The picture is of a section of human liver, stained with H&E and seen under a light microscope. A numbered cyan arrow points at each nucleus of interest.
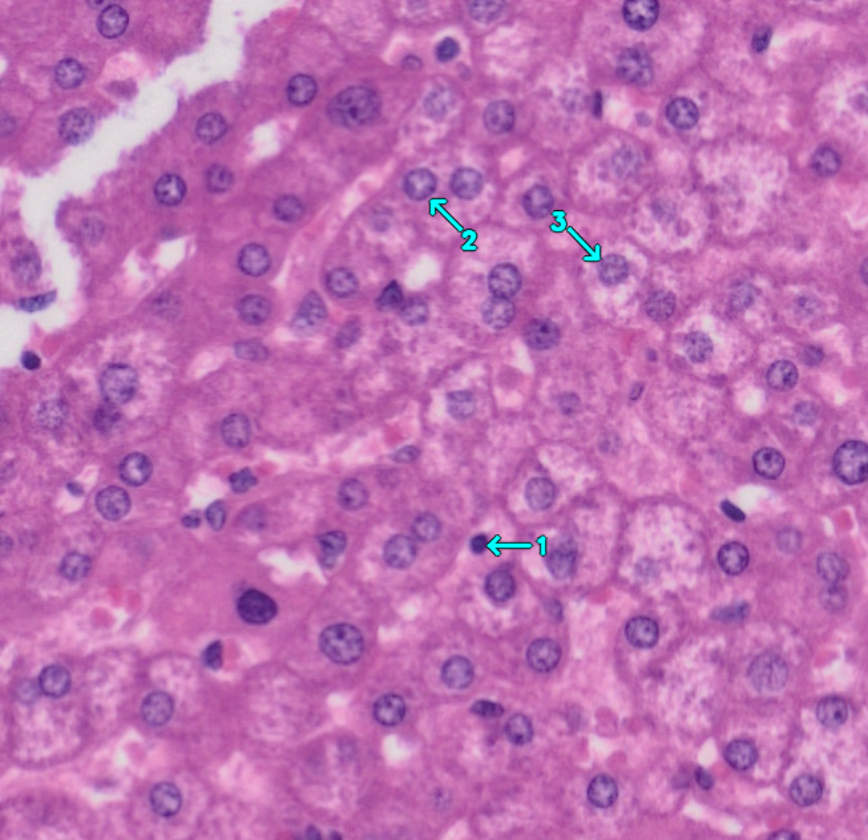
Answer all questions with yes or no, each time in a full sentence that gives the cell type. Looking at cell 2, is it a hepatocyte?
Yes, the cell marked by the number 2 is a hepatocyte.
